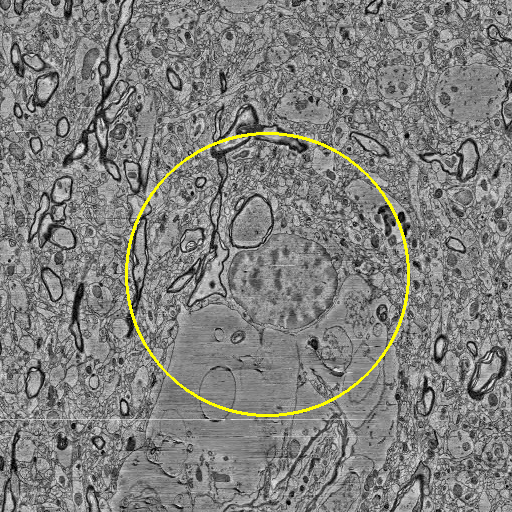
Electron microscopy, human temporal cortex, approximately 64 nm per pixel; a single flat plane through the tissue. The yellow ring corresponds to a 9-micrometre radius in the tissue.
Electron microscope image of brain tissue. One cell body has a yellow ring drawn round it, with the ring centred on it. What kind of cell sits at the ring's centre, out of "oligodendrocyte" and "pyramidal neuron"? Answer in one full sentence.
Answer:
It is an oligodendrocyte whose cell body sits at the centre of the yellow ring.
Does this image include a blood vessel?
Yes, a vessel shows somewhere in the image.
